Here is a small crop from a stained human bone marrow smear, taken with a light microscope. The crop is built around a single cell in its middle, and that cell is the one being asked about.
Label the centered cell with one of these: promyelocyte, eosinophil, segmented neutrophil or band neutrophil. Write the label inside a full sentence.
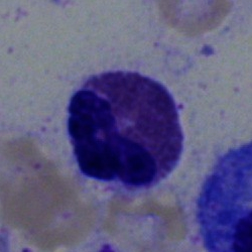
The cell around which this crop is centred is an eosinophil.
